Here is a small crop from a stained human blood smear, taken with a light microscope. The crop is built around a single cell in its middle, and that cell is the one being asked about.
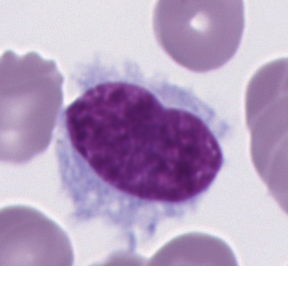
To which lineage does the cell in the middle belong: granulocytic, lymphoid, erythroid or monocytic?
lymphoid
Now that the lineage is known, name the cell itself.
hairy cell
